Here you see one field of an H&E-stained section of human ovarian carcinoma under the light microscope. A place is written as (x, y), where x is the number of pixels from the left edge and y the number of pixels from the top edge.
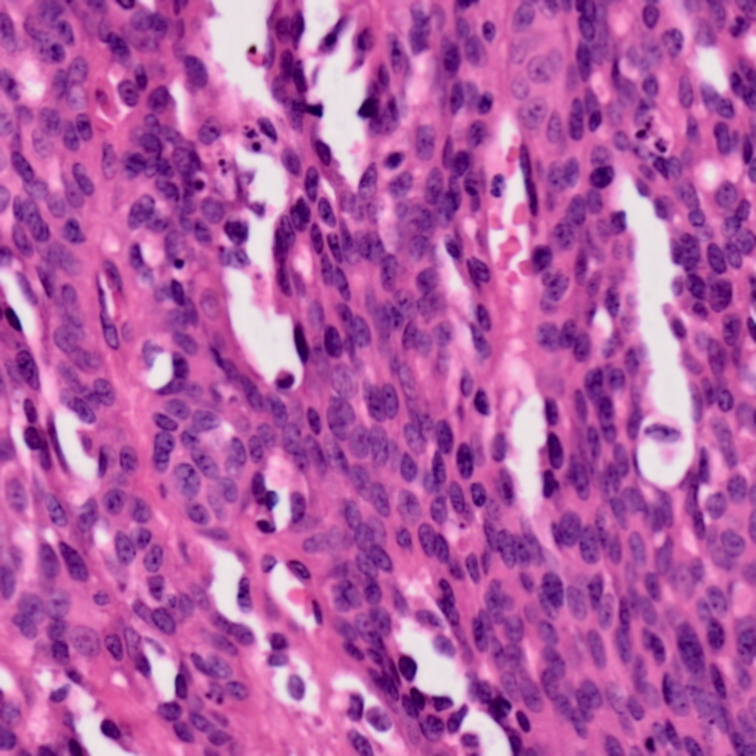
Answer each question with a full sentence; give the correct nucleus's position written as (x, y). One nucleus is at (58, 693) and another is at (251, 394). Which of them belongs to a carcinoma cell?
Of the two nuclei present, the one at (251, 394) is within a carcinoma cell.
